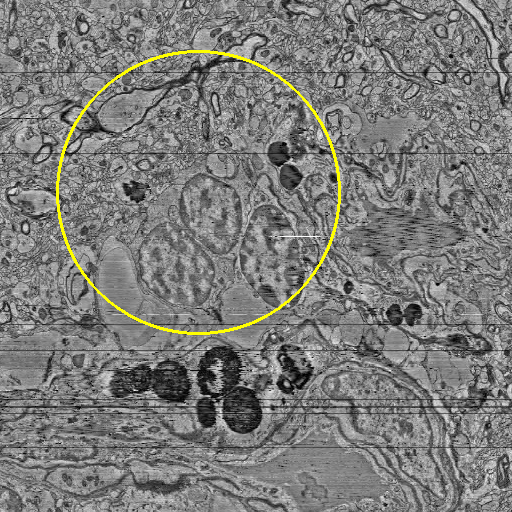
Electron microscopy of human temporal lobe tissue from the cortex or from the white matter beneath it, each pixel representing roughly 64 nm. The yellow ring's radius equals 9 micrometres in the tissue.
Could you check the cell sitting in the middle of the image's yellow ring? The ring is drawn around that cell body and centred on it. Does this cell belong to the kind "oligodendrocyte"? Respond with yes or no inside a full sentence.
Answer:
Yes, this cell in the middle of the yellow ring is one of that kind.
